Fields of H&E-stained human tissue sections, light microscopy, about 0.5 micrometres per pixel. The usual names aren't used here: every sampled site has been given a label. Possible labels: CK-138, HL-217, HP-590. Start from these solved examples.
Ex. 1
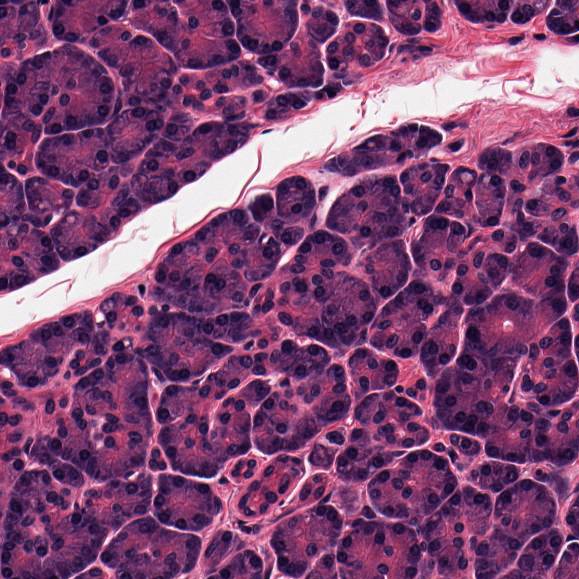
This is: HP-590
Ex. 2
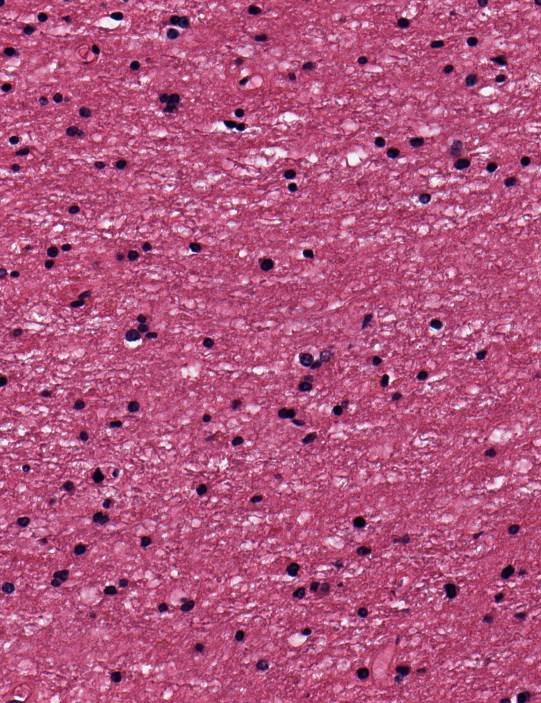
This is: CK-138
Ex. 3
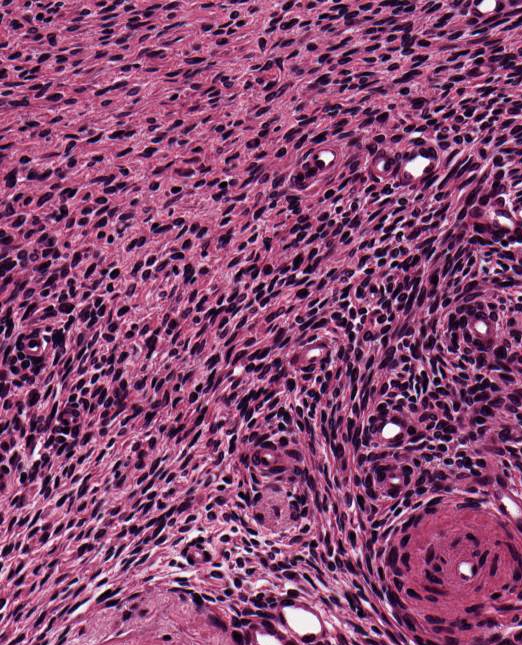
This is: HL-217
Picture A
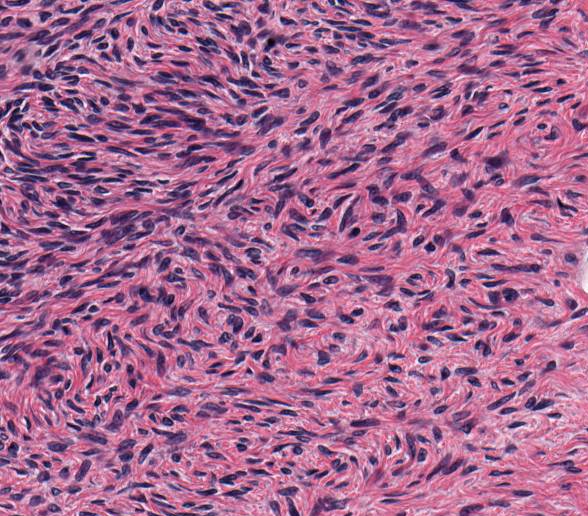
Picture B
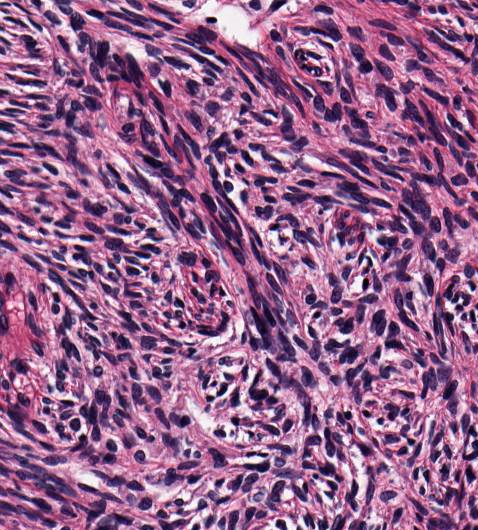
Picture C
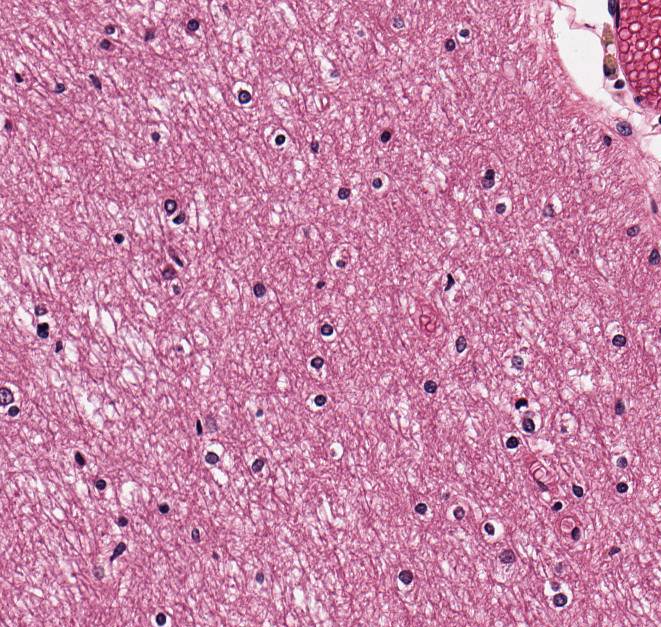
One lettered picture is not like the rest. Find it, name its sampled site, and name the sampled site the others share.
C: CK-138; all the others: HL-217.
